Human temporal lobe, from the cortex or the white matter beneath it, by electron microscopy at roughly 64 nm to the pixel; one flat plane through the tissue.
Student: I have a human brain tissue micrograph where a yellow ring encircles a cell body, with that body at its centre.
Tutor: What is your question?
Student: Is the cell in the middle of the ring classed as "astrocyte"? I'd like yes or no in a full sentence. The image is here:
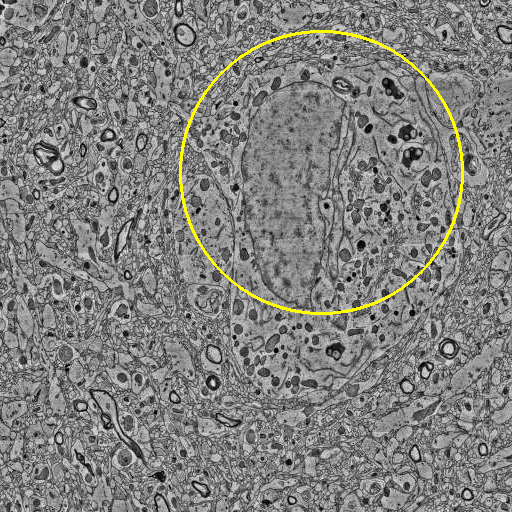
No, the ringed cell in the middle counts as another kind.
